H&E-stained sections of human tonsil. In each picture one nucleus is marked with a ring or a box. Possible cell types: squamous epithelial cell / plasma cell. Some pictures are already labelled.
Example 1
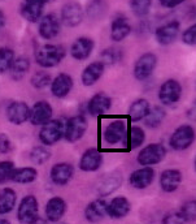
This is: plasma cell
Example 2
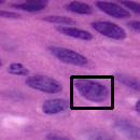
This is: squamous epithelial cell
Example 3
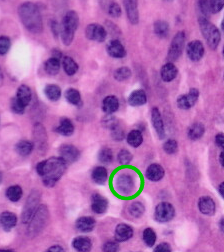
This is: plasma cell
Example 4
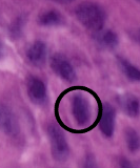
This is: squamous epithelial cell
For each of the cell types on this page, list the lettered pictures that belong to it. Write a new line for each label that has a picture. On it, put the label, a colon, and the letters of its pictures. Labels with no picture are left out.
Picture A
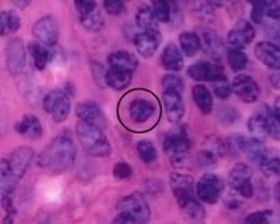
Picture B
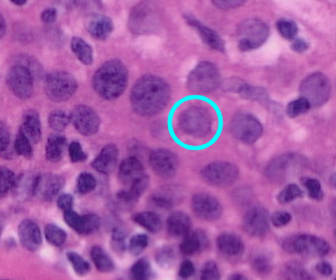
squamous epithelial cell: B
plasma cell: A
